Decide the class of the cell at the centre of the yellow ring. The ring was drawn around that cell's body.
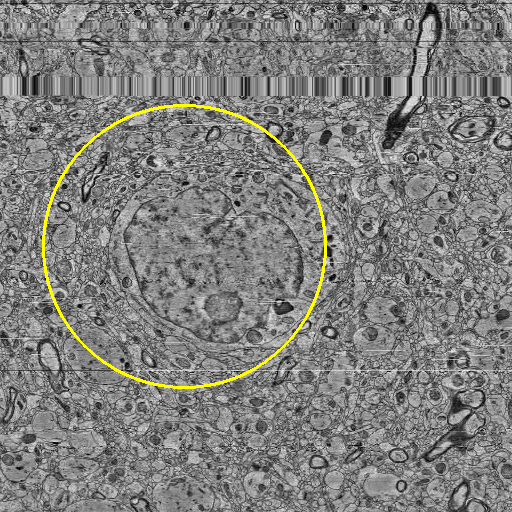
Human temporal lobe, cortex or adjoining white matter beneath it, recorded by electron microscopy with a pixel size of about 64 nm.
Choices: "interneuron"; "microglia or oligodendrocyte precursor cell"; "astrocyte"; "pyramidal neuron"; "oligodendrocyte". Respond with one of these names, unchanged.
pyramidal neuron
